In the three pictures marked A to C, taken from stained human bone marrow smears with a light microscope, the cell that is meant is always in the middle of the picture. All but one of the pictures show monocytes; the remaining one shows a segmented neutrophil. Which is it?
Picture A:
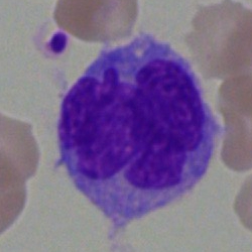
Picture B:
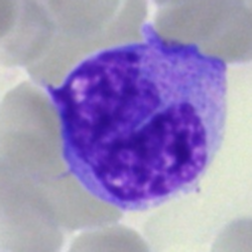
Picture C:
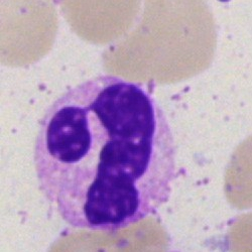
C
